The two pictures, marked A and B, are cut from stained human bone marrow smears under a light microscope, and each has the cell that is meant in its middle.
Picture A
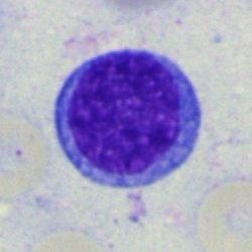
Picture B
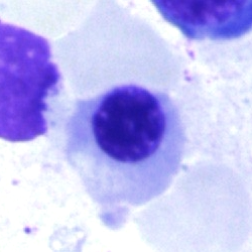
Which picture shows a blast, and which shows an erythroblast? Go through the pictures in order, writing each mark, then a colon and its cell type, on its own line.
A: blast
B: erythroblast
